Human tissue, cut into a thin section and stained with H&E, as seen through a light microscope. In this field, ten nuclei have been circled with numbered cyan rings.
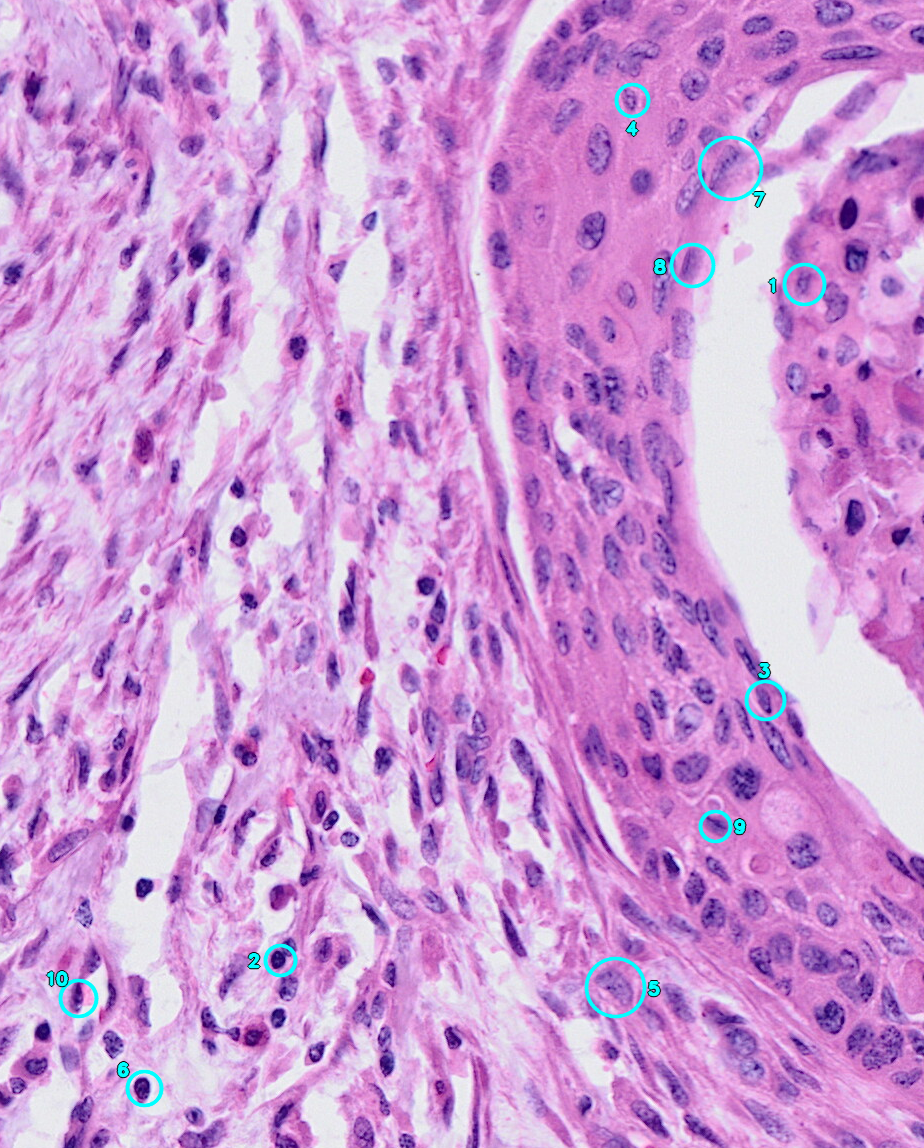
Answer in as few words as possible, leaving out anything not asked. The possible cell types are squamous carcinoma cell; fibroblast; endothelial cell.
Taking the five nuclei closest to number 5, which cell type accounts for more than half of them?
fibroblast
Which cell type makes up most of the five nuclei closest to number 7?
squamous carcinoma cell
